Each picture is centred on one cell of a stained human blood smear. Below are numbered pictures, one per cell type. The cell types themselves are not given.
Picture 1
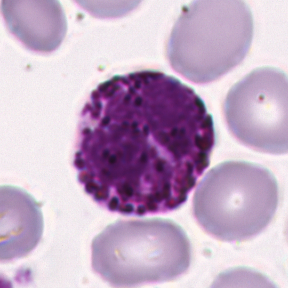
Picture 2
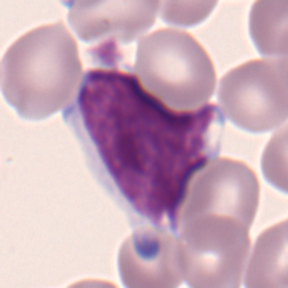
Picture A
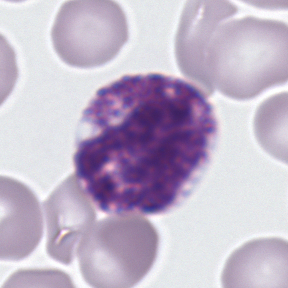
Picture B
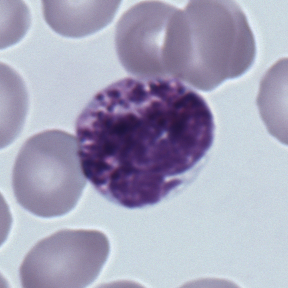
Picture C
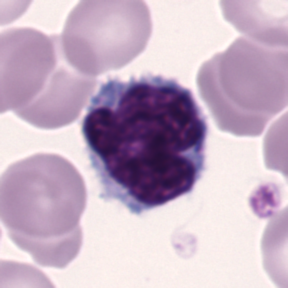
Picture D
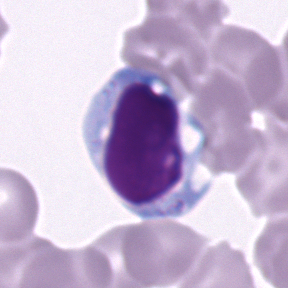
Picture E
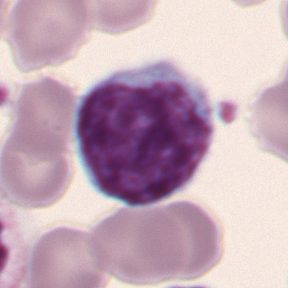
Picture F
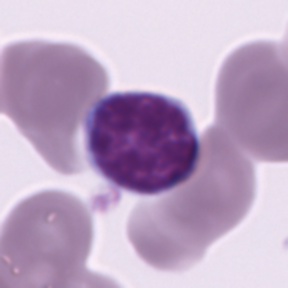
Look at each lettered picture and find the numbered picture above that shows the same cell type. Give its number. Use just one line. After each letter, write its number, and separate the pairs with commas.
A 1, B 1, C 2, D 2, E 2, F 2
